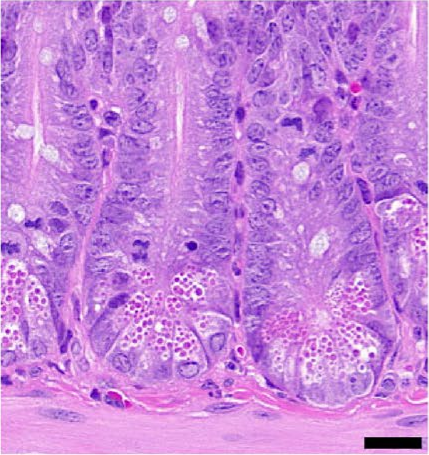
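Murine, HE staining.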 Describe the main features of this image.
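Longitudinally cut crypts of intestinal epithelium run upward side by side, lined by columnar cells with oval purple nuclei and separated by thin strands of pink connective tissue. At the bottom of each crypt sit pyramidal cells whose cytoplasm is crowded with round, bright pink granules, with their nuclei pushed toward the base. A band of smooth muscle lies beneath the crypt bases. These granule-laden cells at the crypt base are Paneth cells, and the pink bodies are their secretory granules.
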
